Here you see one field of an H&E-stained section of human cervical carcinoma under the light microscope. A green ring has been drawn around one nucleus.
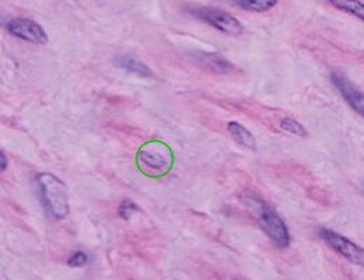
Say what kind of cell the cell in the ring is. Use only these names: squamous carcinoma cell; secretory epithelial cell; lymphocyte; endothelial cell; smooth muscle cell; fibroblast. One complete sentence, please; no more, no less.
Within the stained tissue, the cell in the ring is a smooth muscle cell.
